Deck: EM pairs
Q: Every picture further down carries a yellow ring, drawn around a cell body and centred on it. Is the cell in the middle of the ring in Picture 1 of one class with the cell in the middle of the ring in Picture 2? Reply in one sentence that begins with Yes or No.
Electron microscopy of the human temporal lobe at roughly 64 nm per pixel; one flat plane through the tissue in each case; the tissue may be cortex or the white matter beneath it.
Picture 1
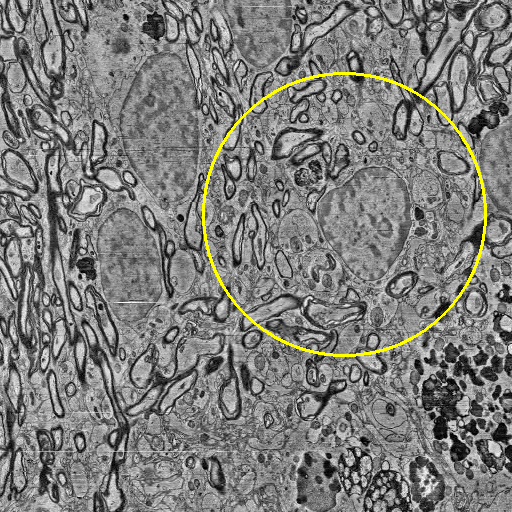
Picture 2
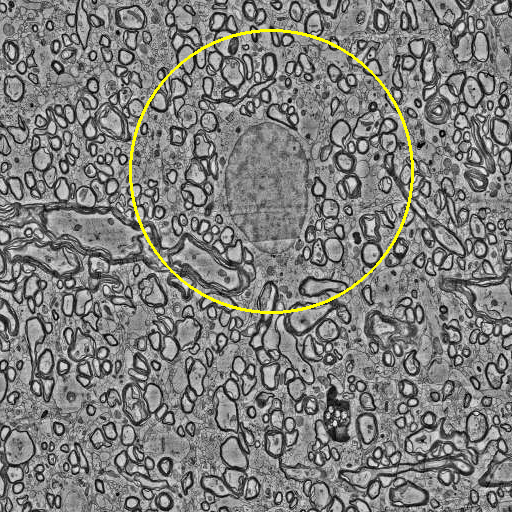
No, the cell centred in the ring of Picture 1 and the one in Picture 2 belong to separate classes.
